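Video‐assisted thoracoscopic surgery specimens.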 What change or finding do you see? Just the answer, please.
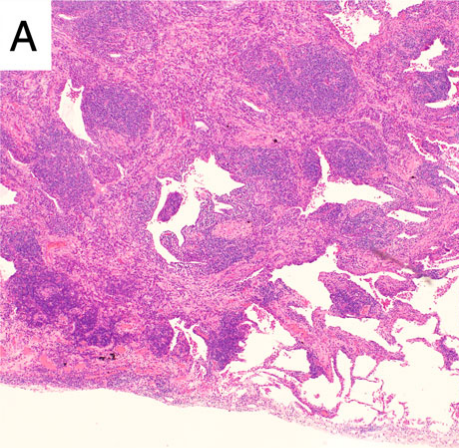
Lymphoid follicular hyperplasia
